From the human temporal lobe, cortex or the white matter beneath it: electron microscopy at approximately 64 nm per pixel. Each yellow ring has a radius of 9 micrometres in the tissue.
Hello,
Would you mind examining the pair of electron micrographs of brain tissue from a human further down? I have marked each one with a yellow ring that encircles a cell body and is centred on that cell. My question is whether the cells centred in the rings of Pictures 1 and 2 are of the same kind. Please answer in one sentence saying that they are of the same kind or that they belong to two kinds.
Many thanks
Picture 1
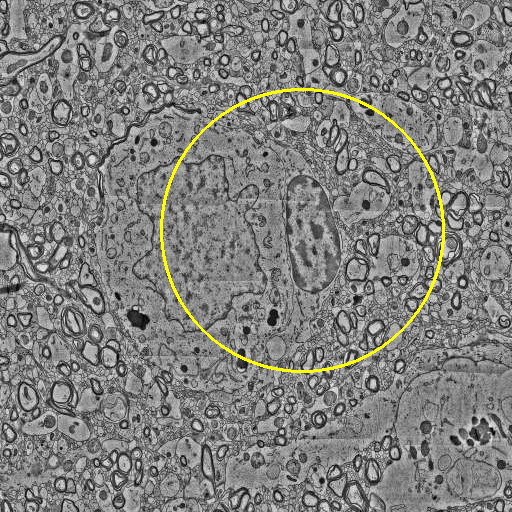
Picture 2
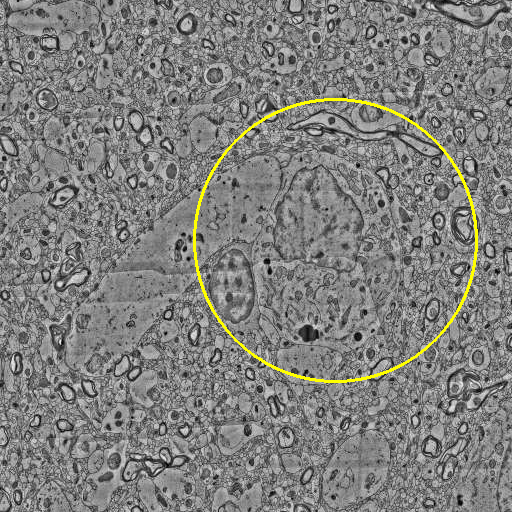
In Pictures 1 and 2, the cells at the heart of the rings belong to two kinds.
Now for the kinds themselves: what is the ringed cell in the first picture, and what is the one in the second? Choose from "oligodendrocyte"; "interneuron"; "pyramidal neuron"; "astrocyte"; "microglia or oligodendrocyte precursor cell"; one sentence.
Here the first cell is a microglial cell or oligodendrocyte precursor cell and the second cell is an interneuron.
